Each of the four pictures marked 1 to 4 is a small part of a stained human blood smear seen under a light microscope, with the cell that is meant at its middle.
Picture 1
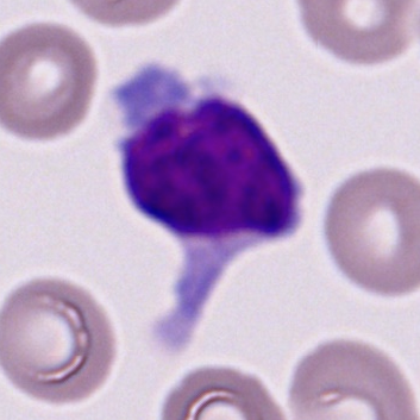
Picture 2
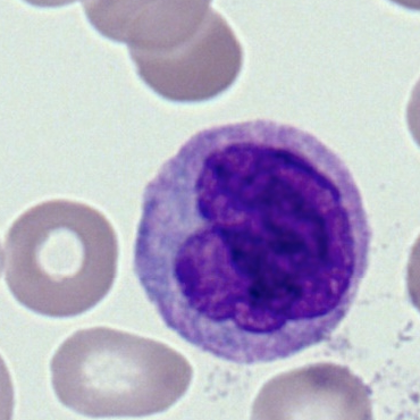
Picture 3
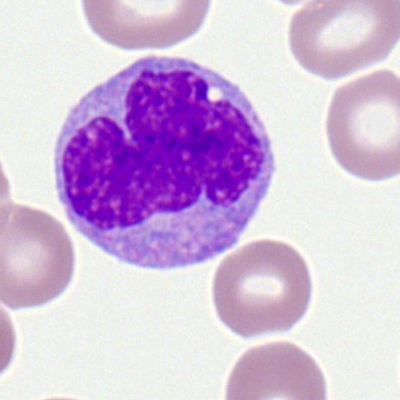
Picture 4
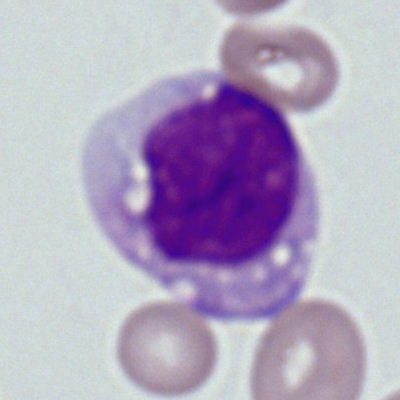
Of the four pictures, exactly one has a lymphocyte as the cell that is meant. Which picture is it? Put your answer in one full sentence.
The picture with the lymphocyte is 1.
